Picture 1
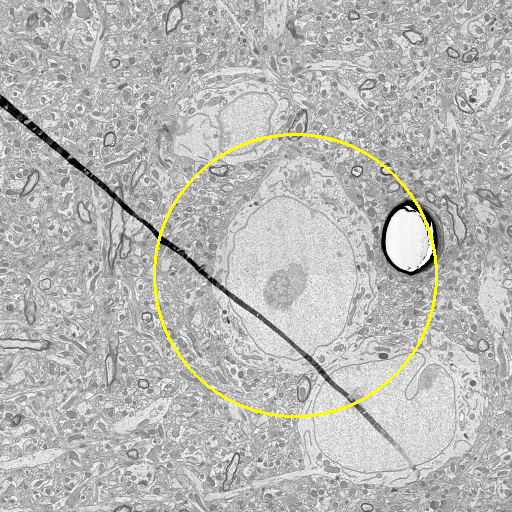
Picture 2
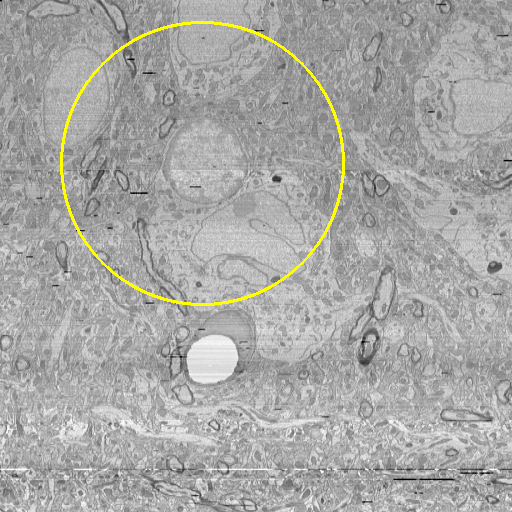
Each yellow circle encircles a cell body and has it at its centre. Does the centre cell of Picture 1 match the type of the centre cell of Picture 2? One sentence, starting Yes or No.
No, the cell centred in Picture 1 and the one in Picture 2 have separate types.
